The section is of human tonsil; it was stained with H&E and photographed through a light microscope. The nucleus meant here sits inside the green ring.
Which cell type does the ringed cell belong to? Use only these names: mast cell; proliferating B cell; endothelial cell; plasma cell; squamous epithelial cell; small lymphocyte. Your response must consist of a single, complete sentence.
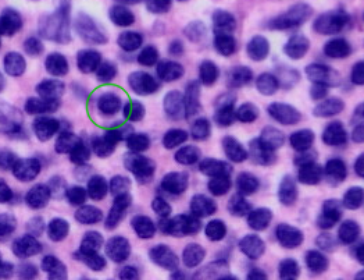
In this field of tissue, the ringed cell is a small lymphocyte.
